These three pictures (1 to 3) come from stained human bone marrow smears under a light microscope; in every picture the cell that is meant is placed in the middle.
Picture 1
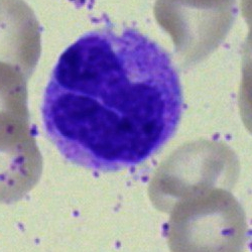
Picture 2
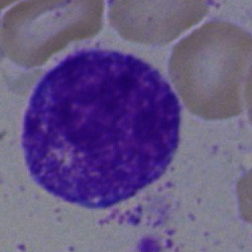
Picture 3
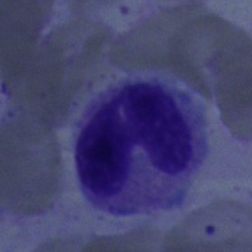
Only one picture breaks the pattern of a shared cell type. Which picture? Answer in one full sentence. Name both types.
Picture 3 differs, because its cell is a band neutrophil and the rest are metamyelocytes.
